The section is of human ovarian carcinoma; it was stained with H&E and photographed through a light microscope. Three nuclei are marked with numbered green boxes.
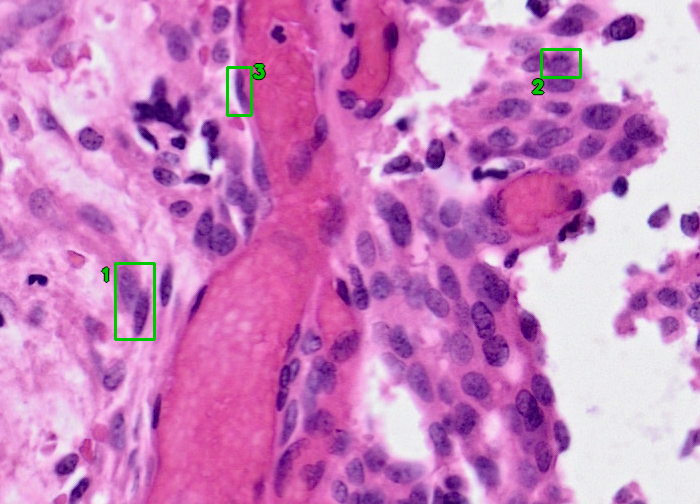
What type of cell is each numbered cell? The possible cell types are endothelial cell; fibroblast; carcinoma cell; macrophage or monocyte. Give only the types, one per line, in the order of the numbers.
fibroblast
carcinoma cell
fibroblast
